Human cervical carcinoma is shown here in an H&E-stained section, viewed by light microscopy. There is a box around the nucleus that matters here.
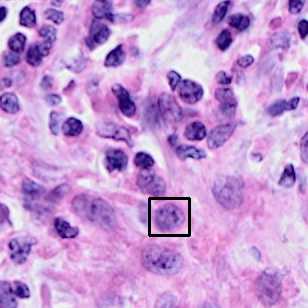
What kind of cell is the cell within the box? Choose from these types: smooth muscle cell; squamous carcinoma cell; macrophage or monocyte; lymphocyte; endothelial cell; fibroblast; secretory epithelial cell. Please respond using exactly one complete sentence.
Cell type answer for this item: the cell within the box is a macrophage or monocyte.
